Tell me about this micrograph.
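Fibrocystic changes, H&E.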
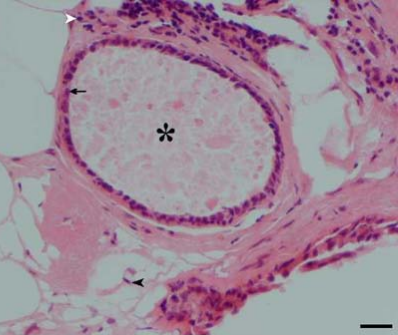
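A large rounded space filled with pale pink, finely granular material fills the centre, lined all around by a single, continuous layer of small cells with dark purple, somewhat flattened to cuboidal nuclei. Outside this lining lies pink fibrous connective tissue holding scattered nuclei, some elongated and spindle shaped, others small and rounded; denser clusters of small round dark nuclei sit at the upper right. Clear empty polygonal spaces of fat cells border the tissue. This is a cyst whose lumen is lined by small, somewhat flattened epithelial cells, surrounded by stroma with spindle shaped fibroblasts and rounded lymphocytes.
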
